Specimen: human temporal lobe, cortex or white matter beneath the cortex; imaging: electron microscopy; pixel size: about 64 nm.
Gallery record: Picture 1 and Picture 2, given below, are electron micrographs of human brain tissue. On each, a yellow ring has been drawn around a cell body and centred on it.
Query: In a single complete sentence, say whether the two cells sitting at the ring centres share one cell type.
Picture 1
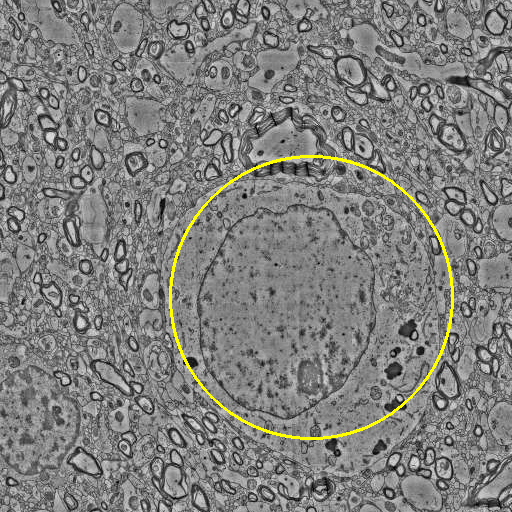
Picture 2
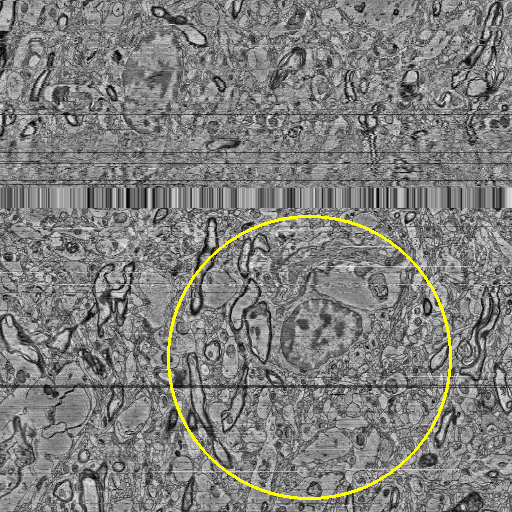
No, in the two pictures the cells at the rings' centres are of two separate types.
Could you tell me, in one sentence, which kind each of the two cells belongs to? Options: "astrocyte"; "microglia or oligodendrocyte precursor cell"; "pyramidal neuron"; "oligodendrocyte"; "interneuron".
At the centre of the first ring sits a pyramidal neuron, and at the centre of the second sits an oligodendrocyte.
